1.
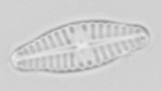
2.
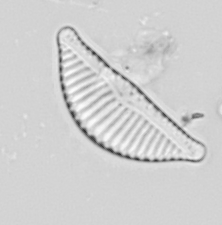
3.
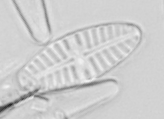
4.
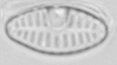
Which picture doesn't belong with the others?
Picture 2.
